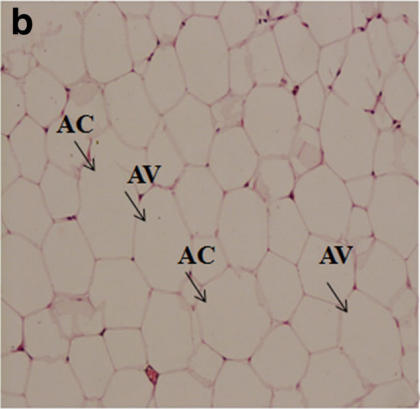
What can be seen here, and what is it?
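Adipose tissue of large, polygonal adipocytes with clear, unstained interiors and thin pink cell borders. Nuclei are few, small and flattened against the cell margins, and the cells are wide, so only a modest number fill the field.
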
